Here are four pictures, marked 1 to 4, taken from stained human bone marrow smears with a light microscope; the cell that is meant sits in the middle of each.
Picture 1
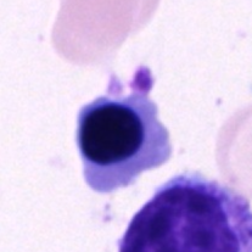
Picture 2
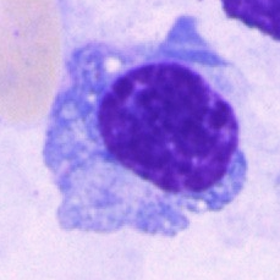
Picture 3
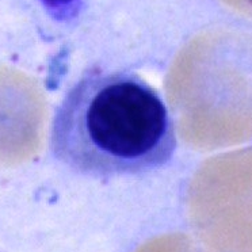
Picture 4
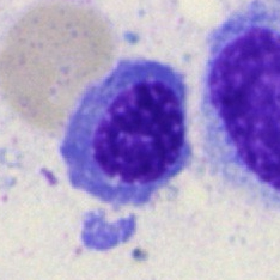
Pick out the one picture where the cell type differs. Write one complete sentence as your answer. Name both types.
Unlike the rest, which show erythroblasts, picture 2 shows a plasma cell.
